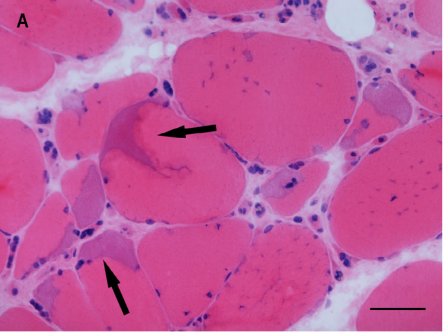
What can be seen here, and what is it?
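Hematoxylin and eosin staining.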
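Muscle fibres in cross-section vary greatly in size, with large rounded fibres beside small atrophic ones and widened connective tissue between them. Several fibres contain irregular purplish basophilic inclusions that stand out from the pink cytoplasm.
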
